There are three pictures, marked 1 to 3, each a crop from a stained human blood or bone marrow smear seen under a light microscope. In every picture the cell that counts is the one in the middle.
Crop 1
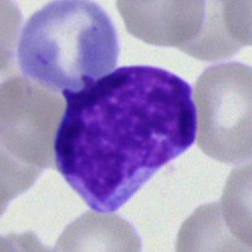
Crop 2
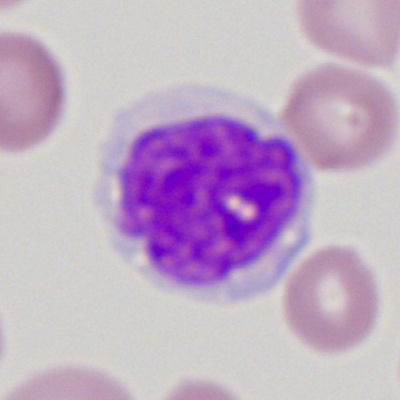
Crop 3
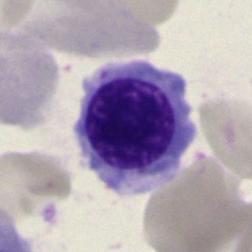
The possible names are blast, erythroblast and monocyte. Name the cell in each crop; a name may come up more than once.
1: blast
2: monocyte
3: erythroblast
